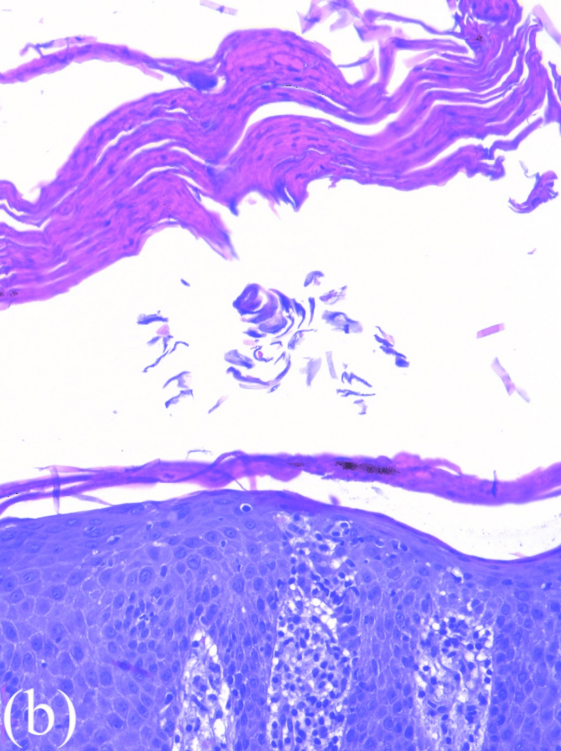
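This is epidermis at higher power with keratinocytes forming a thick purple layer and a pink cornified layer on top. Dermal papillae containing small vessels and cells extend upward close to the surface, so the epidermis over their tips is thin. The keratinocytes have round to oval nuclei and moderate pale purple cytoplasm. The stratum corneum is compact and layered, partly separated from the surface, and contains small dark flattened nuclei, in keeping with parakeratosis.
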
